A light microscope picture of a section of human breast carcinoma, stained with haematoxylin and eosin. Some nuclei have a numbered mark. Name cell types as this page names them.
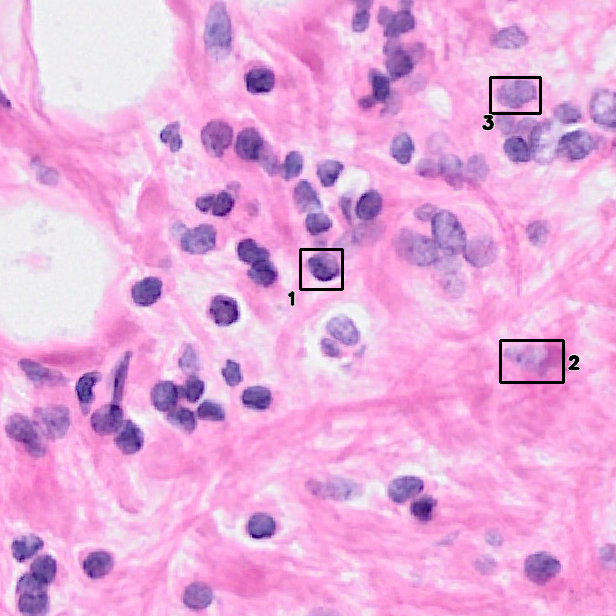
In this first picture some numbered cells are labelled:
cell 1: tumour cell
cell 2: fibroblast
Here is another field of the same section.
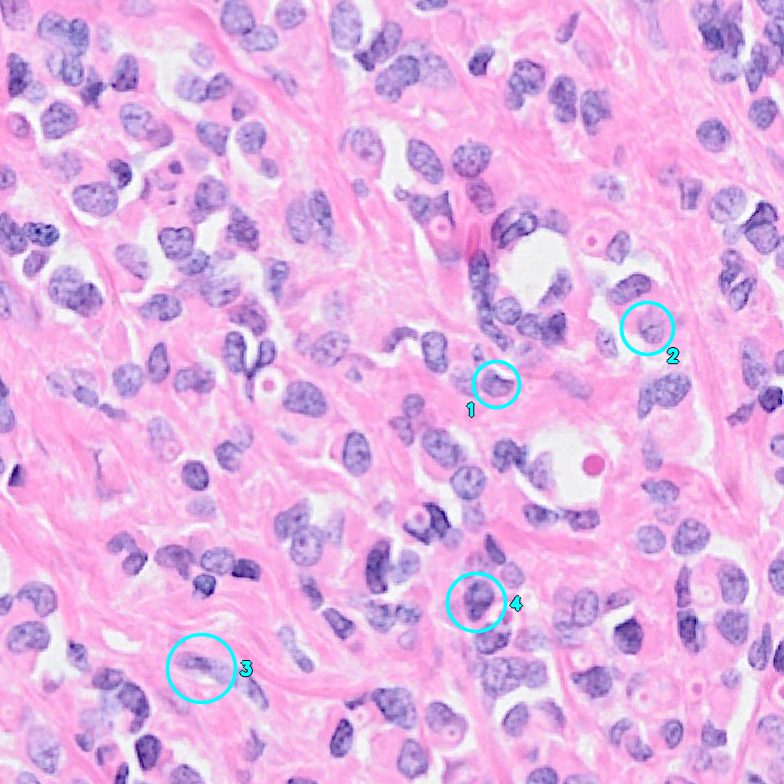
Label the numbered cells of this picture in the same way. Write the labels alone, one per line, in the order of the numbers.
tumour cell
tumour cell
fibroblast
tumour cell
